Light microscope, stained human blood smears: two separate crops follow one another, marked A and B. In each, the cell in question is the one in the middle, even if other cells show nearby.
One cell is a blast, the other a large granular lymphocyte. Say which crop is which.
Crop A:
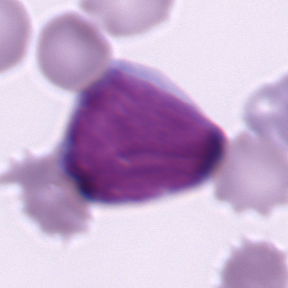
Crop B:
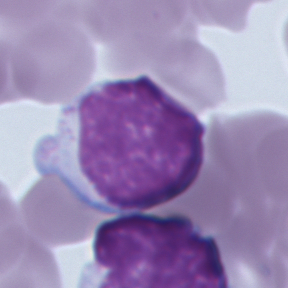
A: blast
B: large granular lymphocyte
